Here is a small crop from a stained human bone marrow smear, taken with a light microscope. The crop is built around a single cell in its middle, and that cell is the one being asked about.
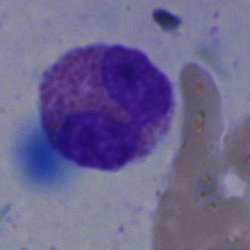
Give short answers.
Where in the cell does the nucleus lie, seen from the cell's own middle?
right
